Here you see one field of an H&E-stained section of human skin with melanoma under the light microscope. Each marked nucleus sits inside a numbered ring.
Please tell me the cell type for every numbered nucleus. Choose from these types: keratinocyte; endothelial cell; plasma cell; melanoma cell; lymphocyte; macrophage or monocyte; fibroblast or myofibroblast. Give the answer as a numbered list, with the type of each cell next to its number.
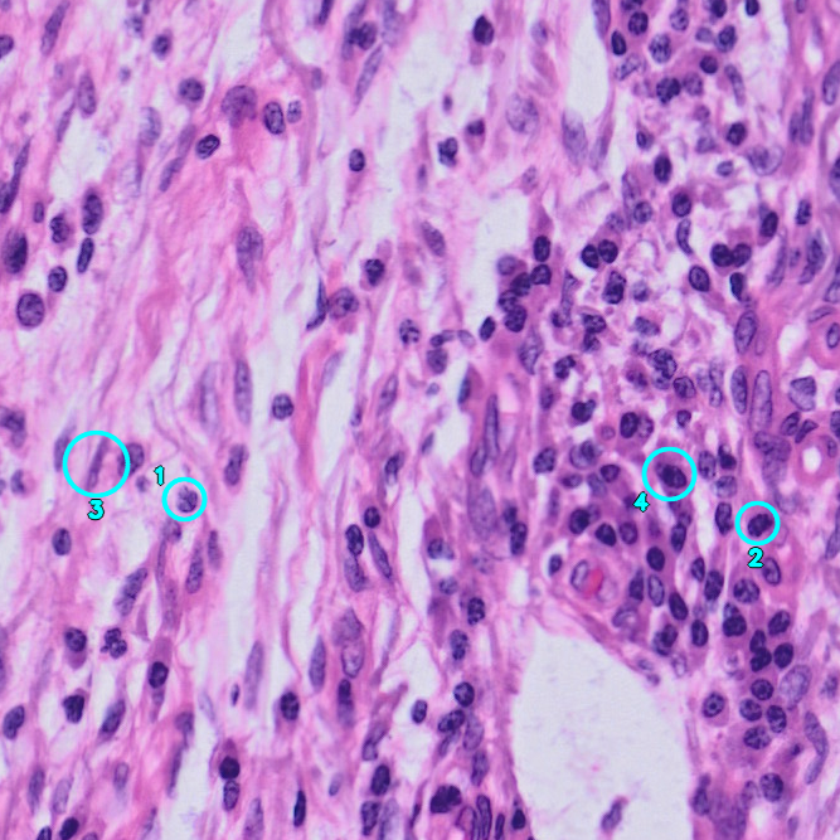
1. lymphocyte
2. plasma cell
3. fibroblast or myofibroblast
4. plasma cell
